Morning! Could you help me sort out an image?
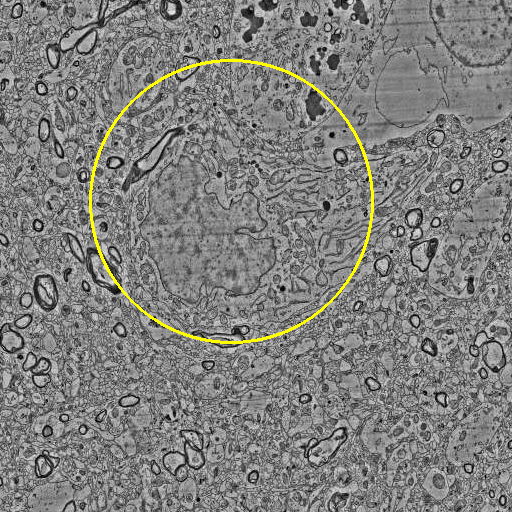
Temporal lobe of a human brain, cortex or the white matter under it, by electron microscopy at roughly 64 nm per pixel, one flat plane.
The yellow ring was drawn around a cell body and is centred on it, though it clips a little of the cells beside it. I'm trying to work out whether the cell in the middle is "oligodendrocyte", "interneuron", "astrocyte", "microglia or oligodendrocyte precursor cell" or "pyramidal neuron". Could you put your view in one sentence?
The ringed cell body is that of an interneuron.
